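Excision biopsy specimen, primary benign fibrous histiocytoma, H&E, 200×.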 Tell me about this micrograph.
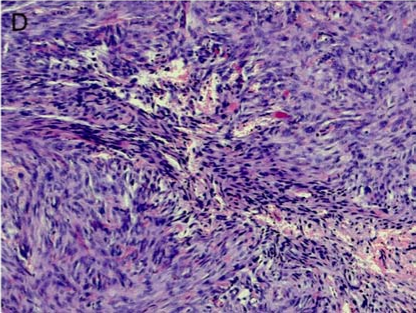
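Streams of spindle cells with elongated nuclei are cut across by a band of small, thin-walled vascular channels, some holding red blood cells. Smaller, darker round nuclei are scattered among the spindle cells near these channels. These are proliferating capillaries set among the spindled cells, with scattered inflammatory cells.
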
